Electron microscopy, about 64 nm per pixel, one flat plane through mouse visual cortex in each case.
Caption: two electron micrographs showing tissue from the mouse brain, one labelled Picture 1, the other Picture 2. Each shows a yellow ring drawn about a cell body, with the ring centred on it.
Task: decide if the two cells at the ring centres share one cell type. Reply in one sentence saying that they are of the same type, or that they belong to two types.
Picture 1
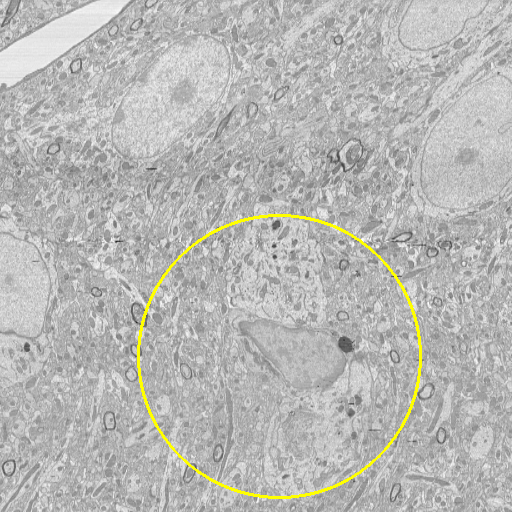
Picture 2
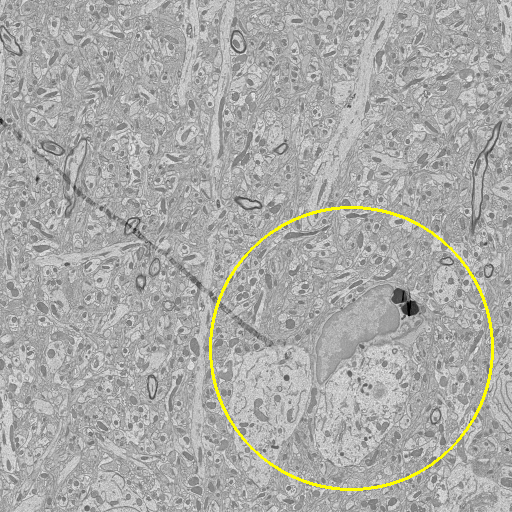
The cells at the ring centres in Picture 1 and Picture 2 are of the same type.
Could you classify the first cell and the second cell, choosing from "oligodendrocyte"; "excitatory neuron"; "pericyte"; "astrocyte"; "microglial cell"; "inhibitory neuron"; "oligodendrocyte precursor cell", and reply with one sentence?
Each of the ringed cells, first and second, is a microglial cell.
